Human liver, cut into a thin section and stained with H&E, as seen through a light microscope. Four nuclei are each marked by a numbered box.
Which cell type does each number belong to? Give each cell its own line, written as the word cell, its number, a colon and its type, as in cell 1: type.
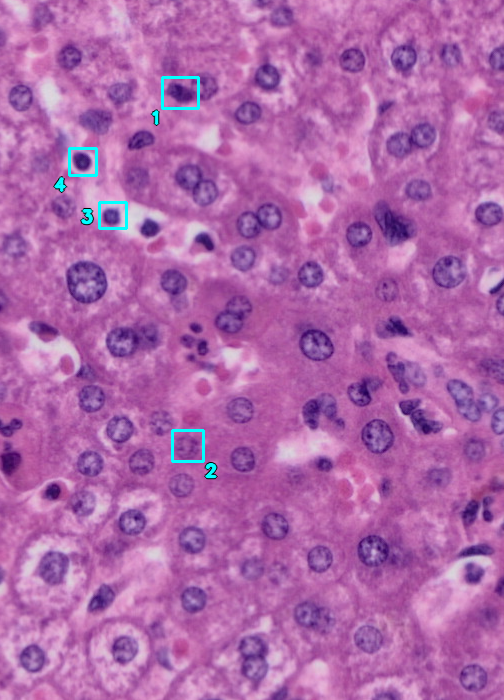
cell 1: fibroblast or stellate cell
cell 2: hepatocyte
cell 3: lymphocyte
cell 4: lymphocyte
